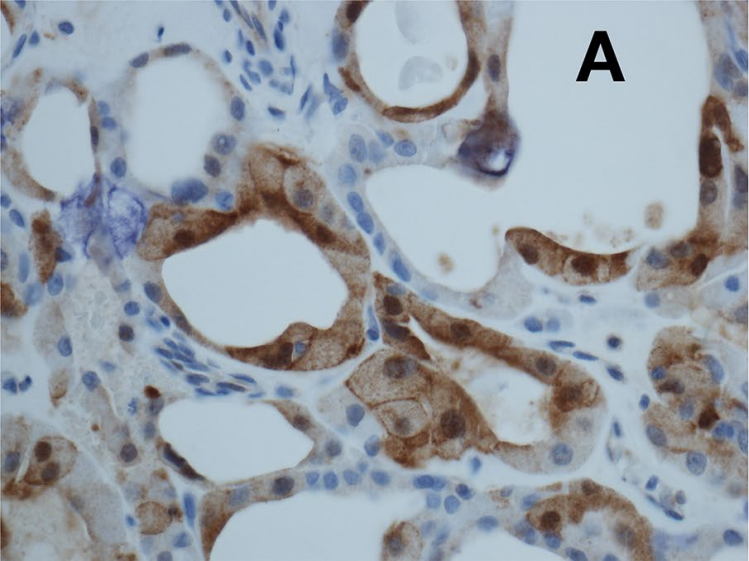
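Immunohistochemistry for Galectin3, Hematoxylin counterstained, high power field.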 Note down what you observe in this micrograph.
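Follicles lined by a single layer of cuboidal to flattened epithelial cells surround wide, pale lumina, with thin strands of stroma containing slender spindle-shaped nuclei between them. The lining cells differ from one another: some have brown cytoplasm, and in several the round nucleus is brown as well, while neighbouring cells in the same follicle show only pale cytoplasm and blue nuclei. Stained and unstained cells are mixed along the follicle walls without a clear boundary, giving a patchy, mosaic appearance of the epithelium.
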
